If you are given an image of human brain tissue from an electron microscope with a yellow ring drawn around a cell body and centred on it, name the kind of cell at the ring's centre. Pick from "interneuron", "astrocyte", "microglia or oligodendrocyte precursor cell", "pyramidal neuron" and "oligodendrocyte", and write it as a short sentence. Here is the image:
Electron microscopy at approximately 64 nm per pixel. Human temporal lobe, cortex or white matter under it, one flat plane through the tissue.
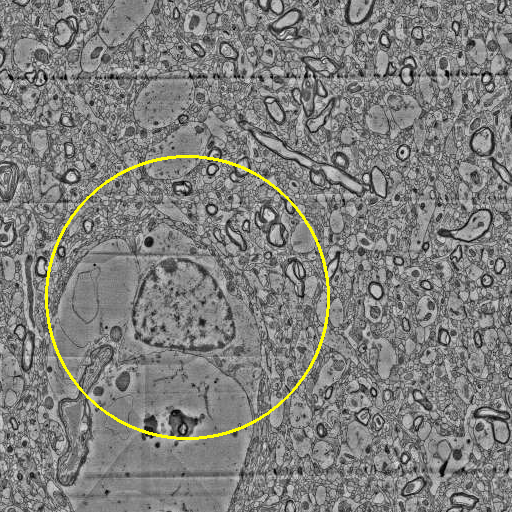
The cell at the ring's centre is a microglial cell or oligodendrocyte precursor cell.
